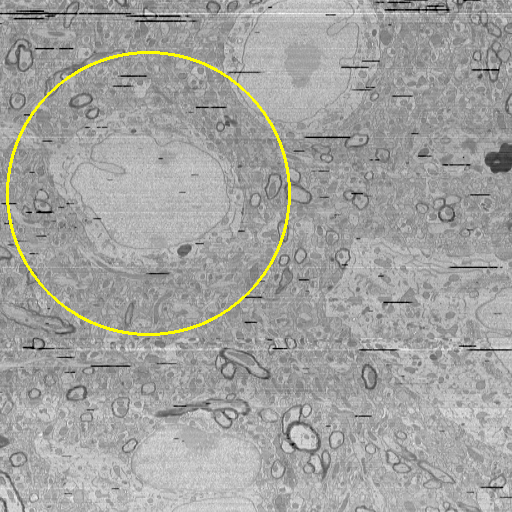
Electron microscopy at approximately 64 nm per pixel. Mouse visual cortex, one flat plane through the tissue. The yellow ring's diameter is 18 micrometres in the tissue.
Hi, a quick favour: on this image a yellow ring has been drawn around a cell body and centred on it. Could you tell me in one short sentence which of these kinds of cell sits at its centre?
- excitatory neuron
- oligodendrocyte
The ring is centred on an excitatory neuron.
